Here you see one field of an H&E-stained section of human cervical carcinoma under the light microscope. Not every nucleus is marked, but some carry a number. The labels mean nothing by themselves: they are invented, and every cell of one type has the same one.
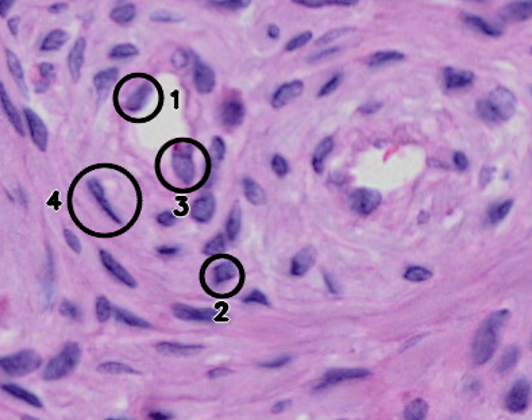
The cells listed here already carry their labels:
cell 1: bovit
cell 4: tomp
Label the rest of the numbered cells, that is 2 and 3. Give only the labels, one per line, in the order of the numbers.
tomp
bovit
